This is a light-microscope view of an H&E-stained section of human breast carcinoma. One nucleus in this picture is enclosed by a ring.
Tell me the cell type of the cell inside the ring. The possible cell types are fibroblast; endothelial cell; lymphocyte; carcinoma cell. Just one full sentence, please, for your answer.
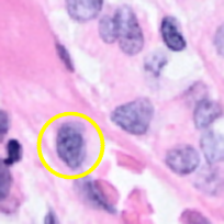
Histopathologically, the cell inside the ring is an endothelial cell.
